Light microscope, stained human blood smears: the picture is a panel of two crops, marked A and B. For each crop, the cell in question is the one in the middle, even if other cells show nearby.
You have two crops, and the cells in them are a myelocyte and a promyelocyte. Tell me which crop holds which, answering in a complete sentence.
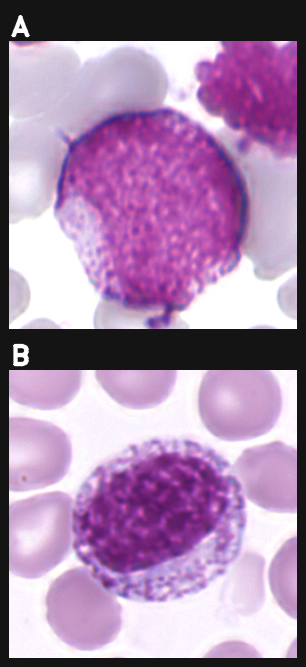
Crop A is to be read as a promyelocyte and crop B as a myelocyte.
